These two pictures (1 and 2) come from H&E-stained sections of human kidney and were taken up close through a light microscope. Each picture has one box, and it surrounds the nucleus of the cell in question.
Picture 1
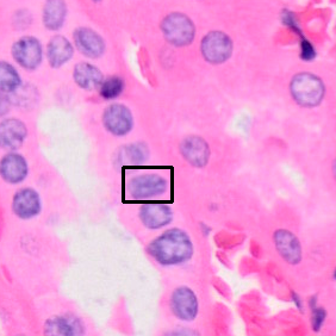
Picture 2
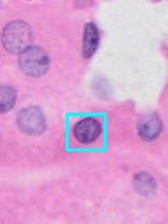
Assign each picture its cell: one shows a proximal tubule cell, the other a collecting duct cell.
1: collecting duct cell
2: proximal tubule cell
